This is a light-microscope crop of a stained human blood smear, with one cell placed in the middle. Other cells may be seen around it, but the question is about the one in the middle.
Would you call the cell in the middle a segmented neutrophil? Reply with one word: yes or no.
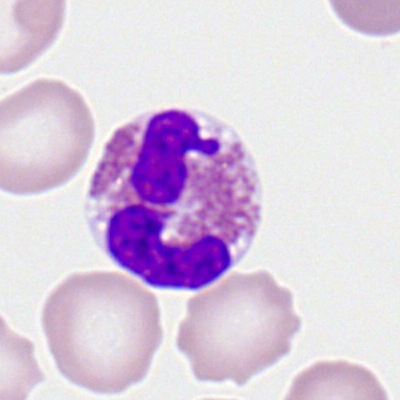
no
